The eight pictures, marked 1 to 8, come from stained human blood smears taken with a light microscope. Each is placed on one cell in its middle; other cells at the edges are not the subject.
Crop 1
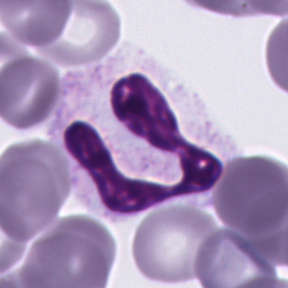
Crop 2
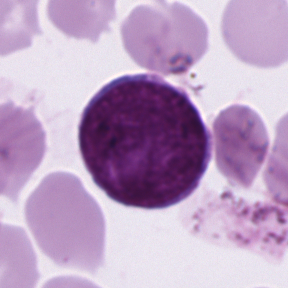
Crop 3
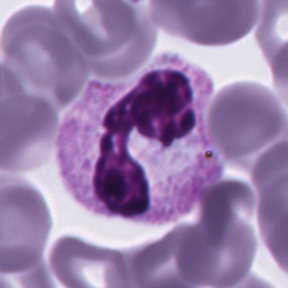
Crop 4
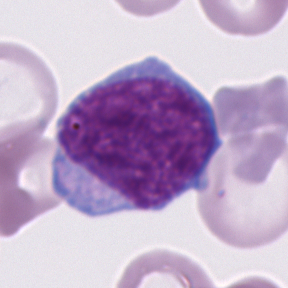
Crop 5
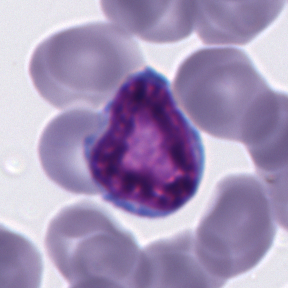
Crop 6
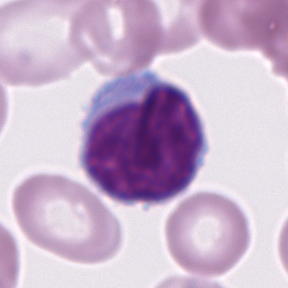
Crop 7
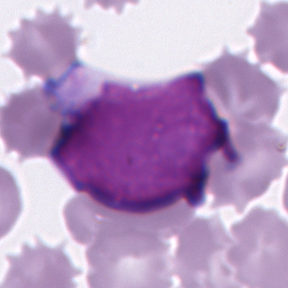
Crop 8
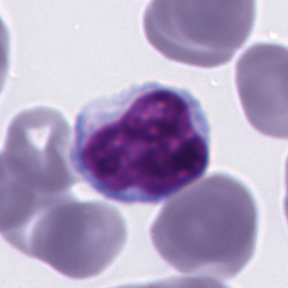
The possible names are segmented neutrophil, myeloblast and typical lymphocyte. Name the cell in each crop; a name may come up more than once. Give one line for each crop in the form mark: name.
1: segmented neutrophil
2: myeloblast
3: segmented neutrophil
4: myeloblast
5: typical lymphocyte
6: typical lymphocyte
7: myeloblast
8: typical lymphocyte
